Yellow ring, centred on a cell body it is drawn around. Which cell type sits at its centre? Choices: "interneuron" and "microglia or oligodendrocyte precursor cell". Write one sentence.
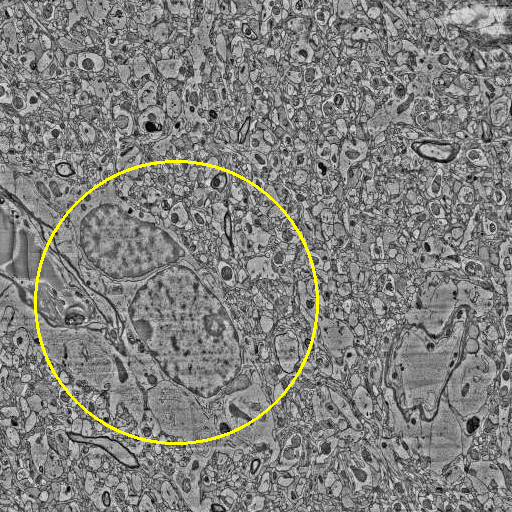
At the centre of the ring sits a microglial cell or oligodendrocyte precursor cell.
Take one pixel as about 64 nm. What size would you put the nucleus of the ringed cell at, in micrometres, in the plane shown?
About 8 by 6 micrometres in this plane.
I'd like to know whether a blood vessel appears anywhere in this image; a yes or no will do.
Yes, there is one.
